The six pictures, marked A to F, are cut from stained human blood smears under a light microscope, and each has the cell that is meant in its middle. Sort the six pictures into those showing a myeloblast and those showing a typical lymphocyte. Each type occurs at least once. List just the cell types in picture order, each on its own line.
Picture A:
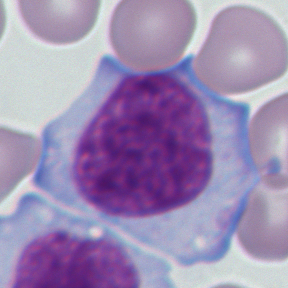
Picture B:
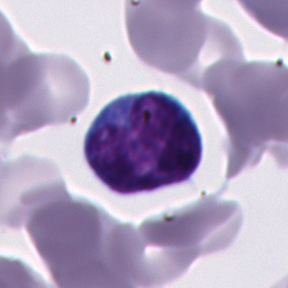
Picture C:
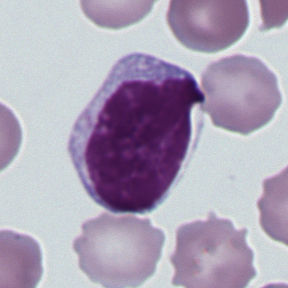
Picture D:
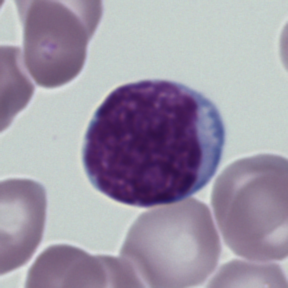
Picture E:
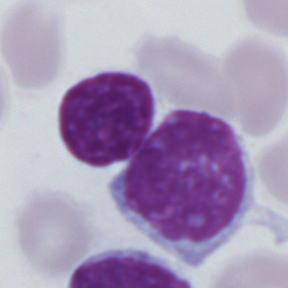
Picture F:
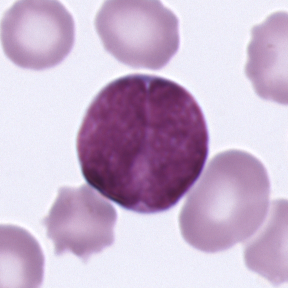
myeloblast
typical lymphocyte
typical lymphocyte
myeloblast
myeloblast
myeloblast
